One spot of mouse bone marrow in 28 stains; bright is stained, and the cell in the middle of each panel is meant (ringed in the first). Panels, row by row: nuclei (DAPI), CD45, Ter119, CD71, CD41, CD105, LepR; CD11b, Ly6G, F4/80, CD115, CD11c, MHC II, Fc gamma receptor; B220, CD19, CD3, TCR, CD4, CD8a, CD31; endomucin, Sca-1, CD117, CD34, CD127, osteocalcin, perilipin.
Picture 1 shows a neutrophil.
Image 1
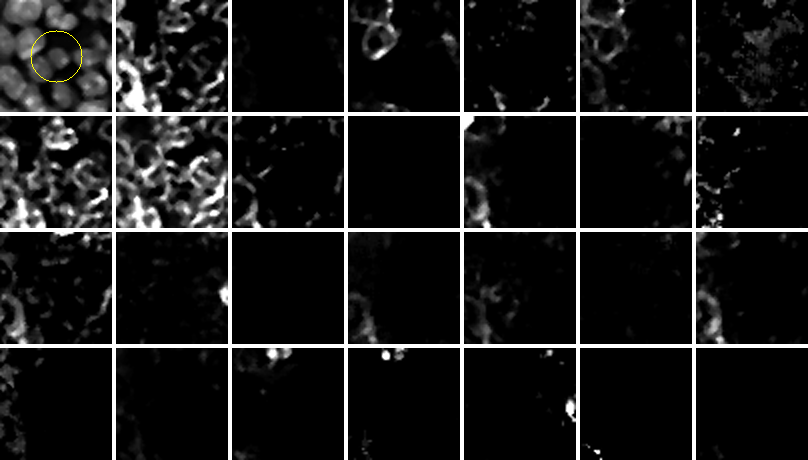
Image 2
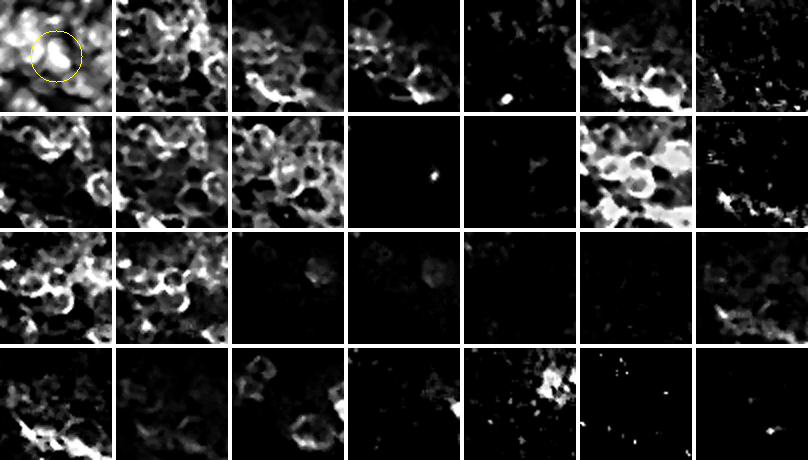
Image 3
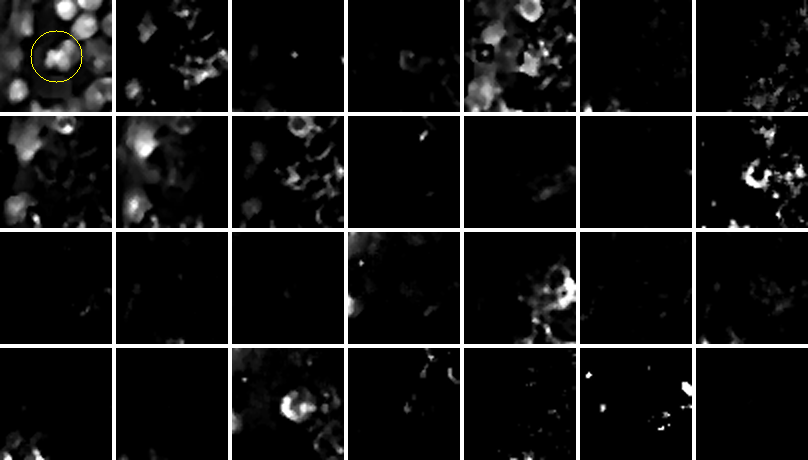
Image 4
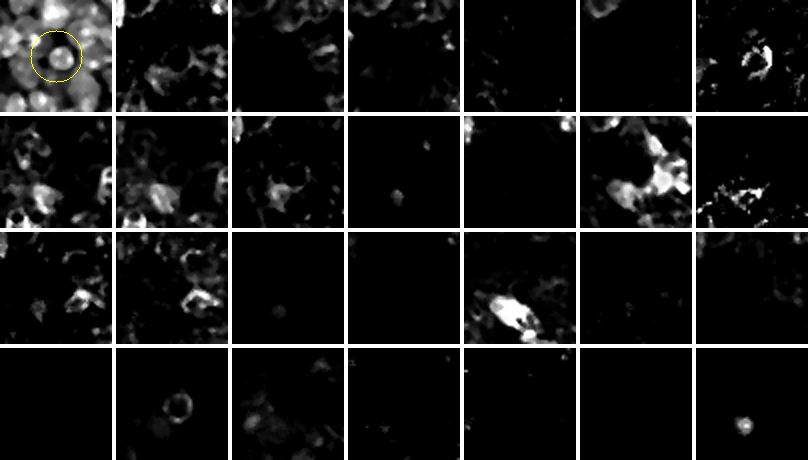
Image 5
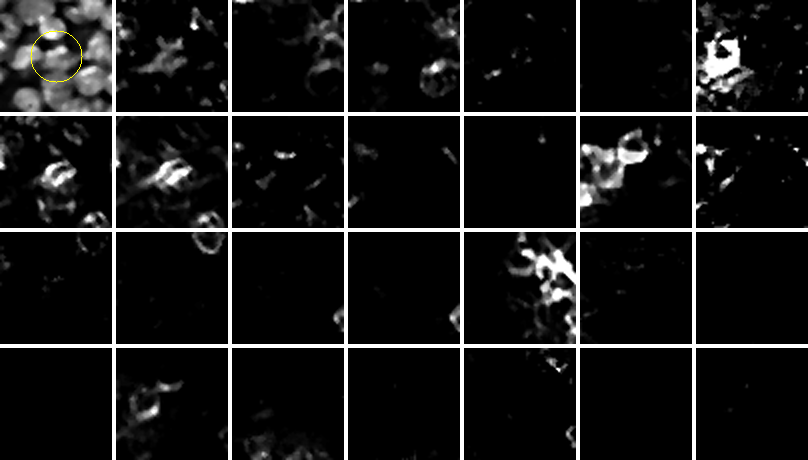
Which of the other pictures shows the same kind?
Picture 5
